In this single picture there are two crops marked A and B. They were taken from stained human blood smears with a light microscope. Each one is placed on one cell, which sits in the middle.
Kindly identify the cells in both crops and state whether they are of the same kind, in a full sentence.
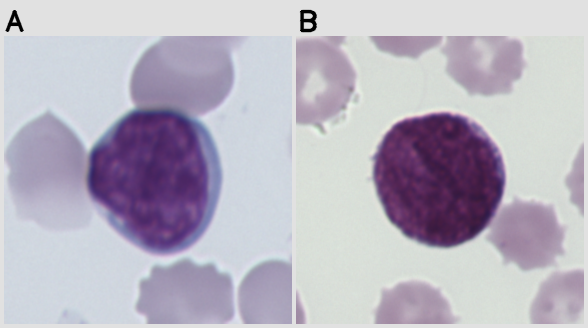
No, a blast is the cell in crop B, and crop A contains a lymphocyte.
